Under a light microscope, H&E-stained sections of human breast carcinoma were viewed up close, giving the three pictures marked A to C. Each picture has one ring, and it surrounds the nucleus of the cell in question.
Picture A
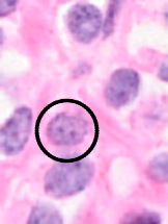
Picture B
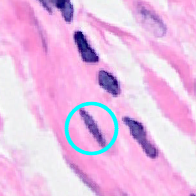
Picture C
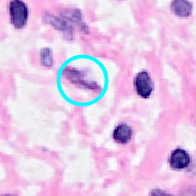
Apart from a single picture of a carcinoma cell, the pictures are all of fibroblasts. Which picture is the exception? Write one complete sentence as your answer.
Picture A shows the carcinoma cell.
